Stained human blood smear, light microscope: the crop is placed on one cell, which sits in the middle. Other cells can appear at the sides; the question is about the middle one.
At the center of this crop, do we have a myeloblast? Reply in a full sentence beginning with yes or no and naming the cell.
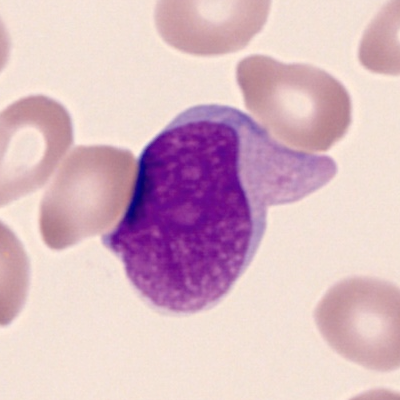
Yes, the cell found in the middle is a myeloblast.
